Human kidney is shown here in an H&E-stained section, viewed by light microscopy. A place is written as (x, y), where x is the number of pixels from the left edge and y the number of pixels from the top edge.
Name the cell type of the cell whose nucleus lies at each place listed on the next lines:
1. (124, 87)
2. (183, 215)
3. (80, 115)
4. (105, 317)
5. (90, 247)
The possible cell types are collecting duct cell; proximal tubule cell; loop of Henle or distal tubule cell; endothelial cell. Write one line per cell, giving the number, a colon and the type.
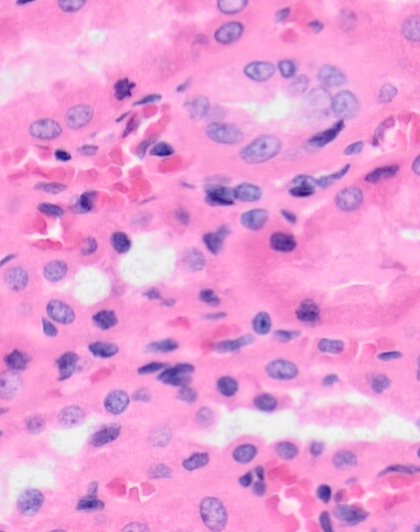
1: proximal tubule cell
2: loop of Henle or distal tubule cell
3: proximal tubule cell
4: loop of Henle or distal tubule cell
5: loop of Henle or distal tubule cell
